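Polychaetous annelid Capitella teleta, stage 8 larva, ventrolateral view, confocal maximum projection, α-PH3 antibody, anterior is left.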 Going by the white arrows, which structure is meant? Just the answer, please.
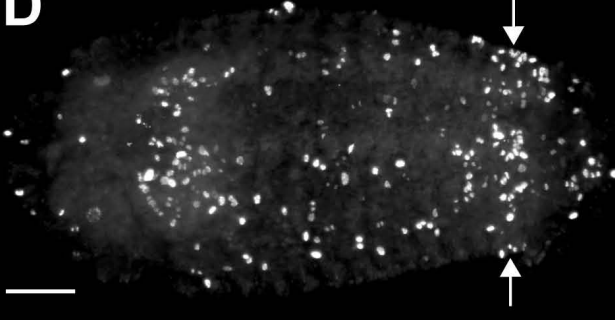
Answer: Localised region of high cell proliferation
